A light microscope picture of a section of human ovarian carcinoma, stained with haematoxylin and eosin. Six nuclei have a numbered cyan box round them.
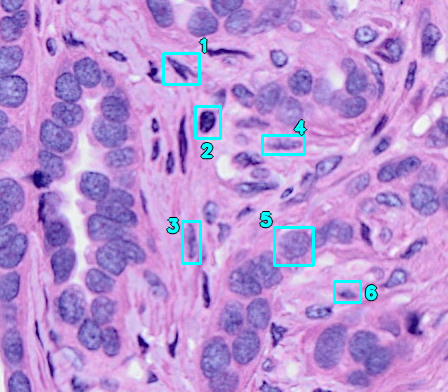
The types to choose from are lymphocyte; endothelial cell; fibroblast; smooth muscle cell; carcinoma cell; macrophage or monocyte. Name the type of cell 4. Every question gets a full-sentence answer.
The cell marked with number 4 is a fibroblast.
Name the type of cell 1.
Belonging to a fibroblast is the nucleus that carries the number 1.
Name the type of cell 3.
The nucleus labelled 3 belongs to a fibroblast.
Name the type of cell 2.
The cell marked with number 2 is a lymphocyte.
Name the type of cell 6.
The identity of cell 6 is that of a fibroblast.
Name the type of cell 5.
Number 5 among the marked cells is a carcinoma cell.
